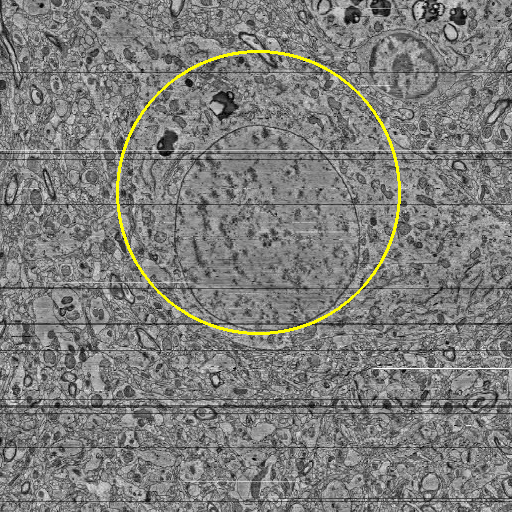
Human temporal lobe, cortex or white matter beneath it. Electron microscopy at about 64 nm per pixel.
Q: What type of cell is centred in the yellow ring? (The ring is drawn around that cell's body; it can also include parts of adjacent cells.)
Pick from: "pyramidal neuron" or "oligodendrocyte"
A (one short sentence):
The yellow ring is centred on a pyramidal neuron.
